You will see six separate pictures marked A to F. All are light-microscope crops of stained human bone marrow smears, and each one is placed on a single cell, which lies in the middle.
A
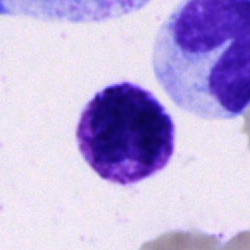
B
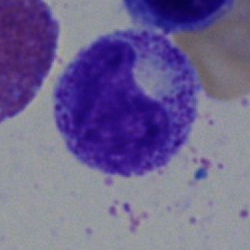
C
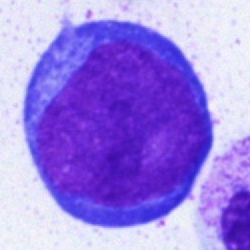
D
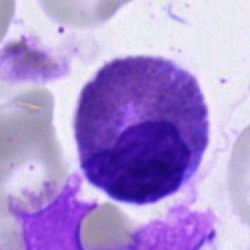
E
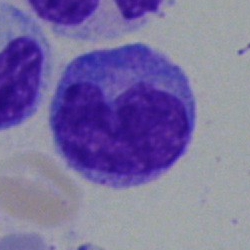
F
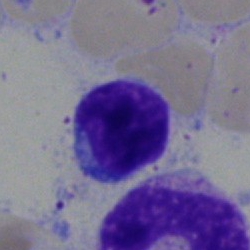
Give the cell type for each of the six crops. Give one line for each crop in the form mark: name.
A: basophil
B: metamyelocyte
C: proerythroblast
D: eosinophil
E: monocyte
F: lymphocyte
